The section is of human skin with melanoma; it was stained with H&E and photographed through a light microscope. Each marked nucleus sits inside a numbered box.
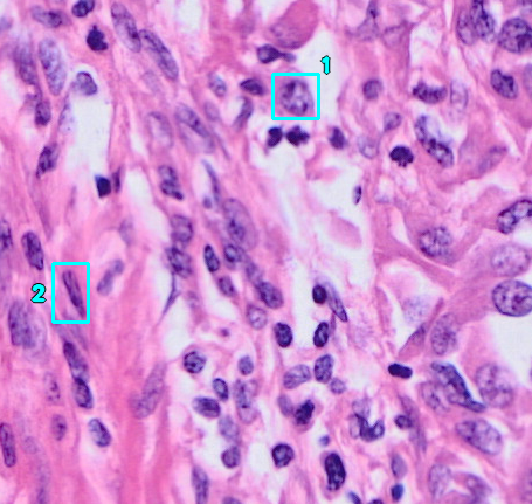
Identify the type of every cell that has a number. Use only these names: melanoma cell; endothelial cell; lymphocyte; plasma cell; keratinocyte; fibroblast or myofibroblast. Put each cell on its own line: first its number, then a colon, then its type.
1: melanoma cell
2: fibroblast or myofibroblast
